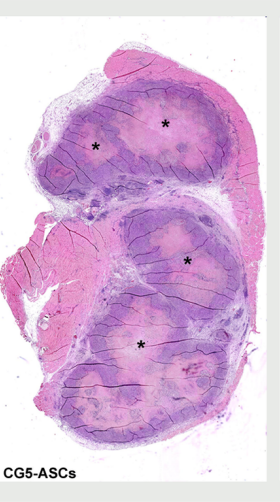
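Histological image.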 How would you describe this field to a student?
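This low-power section shows a tumor mass made of a few large lobes of purple-staining, densely cellular tissue. The center of each lobe is occupied by a broad light pink, eosinophilic zone, the necrotic area. A rim of purple viable tumor tissue surrounds each pale zone. Fine cracks cross the section, and a broad band of pink tissue wraps around the top and right edge of the mass.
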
